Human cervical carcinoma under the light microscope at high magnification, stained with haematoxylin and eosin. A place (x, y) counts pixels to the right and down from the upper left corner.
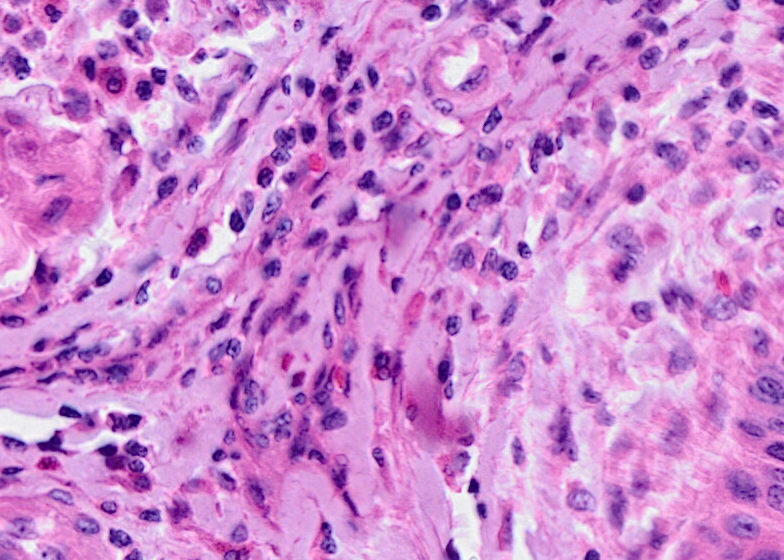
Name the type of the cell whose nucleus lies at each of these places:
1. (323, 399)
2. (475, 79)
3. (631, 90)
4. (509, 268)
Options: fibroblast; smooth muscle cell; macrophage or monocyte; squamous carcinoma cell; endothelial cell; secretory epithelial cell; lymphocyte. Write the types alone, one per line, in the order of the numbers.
endothelial cell
endothelial cell
lymphocyte
lymphocyte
